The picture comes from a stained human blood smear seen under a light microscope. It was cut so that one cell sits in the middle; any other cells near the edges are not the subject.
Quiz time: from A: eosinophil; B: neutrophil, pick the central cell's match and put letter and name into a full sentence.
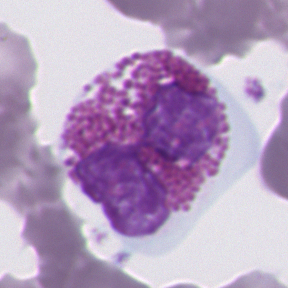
What option A states is correct, the central cell being an eosinophil.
